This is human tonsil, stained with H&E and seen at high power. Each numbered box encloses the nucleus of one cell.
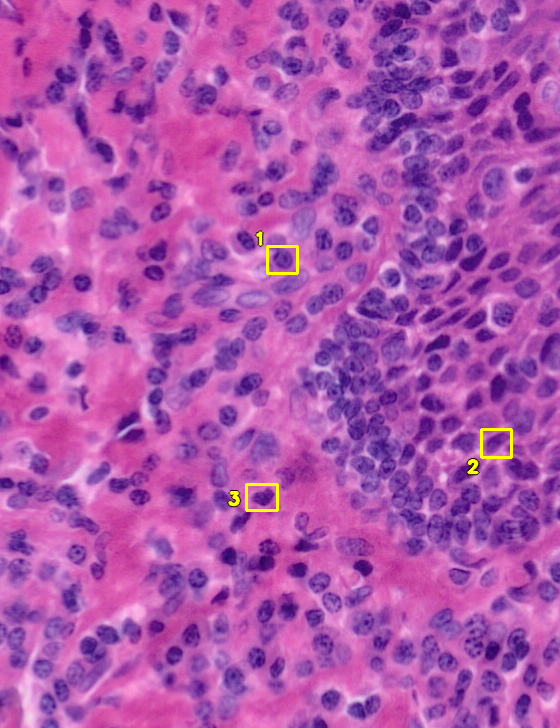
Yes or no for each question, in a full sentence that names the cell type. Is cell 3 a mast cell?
Yes, it is a mast cell that carries the number 3.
